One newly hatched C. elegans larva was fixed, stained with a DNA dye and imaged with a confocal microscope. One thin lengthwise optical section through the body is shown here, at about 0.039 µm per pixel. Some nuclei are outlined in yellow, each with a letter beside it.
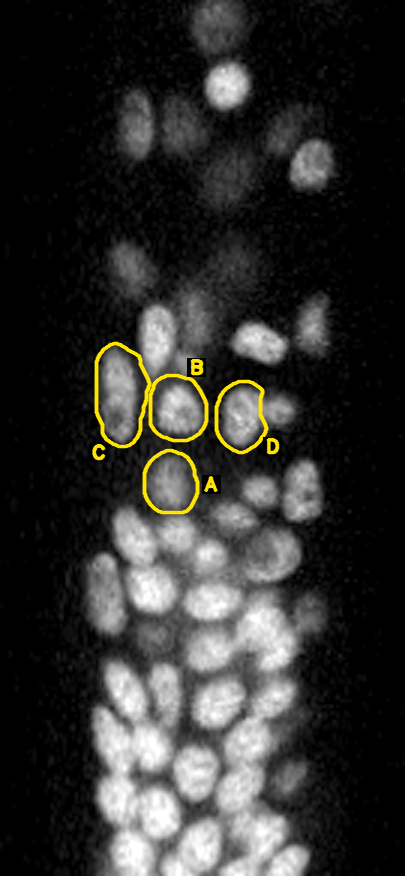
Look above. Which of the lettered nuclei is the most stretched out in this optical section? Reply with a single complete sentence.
Nucleus C is the longest relative to its width.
